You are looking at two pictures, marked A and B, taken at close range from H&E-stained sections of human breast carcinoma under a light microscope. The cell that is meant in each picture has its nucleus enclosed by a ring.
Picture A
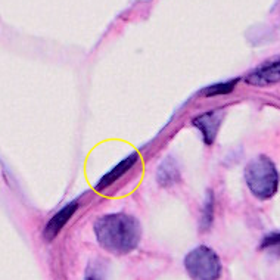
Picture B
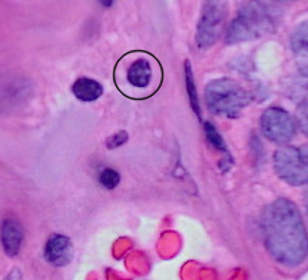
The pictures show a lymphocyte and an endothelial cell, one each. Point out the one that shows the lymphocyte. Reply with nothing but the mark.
B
